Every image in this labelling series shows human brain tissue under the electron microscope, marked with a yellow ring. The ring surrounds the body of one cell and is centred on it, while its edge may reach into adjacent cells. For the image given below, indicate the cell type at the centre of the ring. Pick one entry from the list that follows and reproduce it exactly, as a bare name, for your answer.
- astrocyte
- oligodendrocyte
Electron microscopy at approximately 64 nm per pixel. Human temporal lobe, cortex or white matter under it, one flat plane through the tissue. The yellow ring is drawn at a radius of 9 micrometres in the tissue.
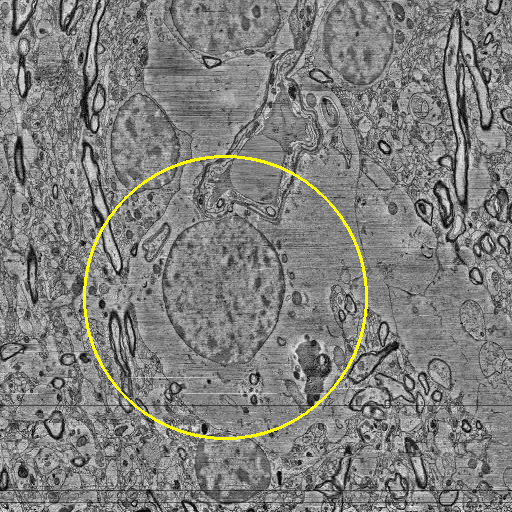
astrocyte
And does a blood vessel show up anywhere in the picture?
Yes, a blood vessel shows in the picture.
